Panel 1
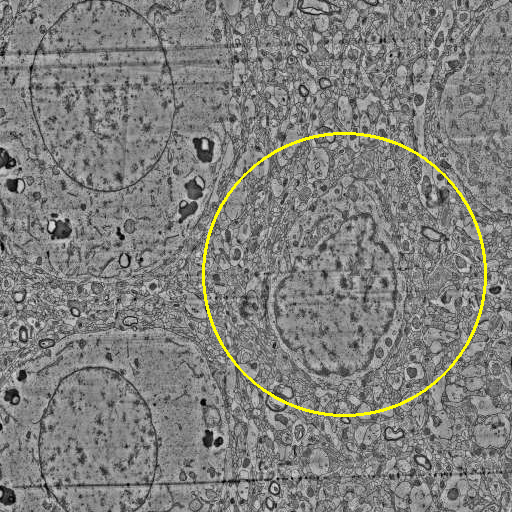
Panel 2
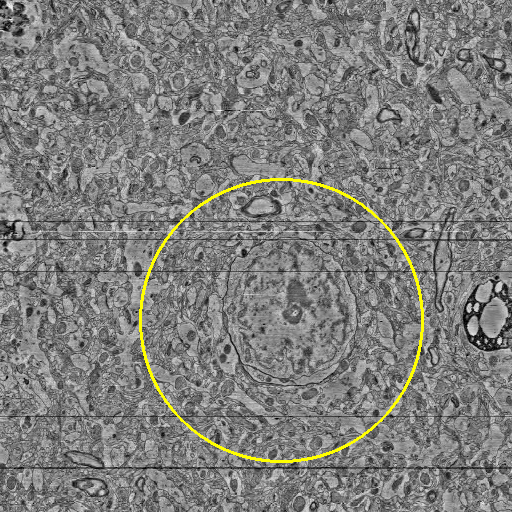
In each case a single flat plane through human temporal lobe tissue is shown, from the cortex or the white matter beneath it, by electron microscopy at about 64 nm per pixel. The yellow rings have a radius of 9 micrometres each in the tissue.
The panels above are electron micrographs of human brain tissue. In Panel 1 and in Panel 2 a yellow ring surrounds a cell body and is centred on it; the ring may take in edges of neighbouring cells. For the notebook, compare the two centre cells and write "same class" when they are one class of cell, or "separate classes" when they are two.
same class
